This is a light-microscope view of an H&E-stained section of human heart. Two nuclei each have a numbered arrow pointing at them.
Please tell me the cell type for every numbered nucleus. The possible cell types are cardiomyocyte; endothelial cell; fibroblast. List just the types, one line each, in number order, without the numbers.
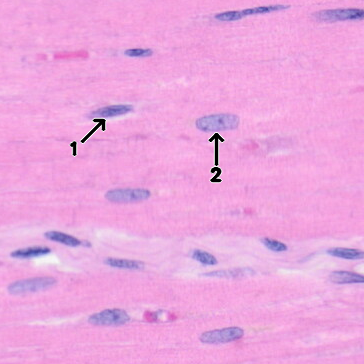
endothelial cell
cardiomyocyte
